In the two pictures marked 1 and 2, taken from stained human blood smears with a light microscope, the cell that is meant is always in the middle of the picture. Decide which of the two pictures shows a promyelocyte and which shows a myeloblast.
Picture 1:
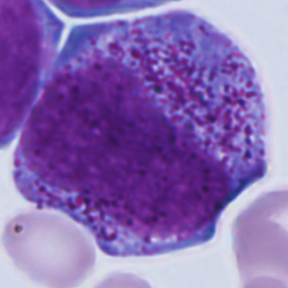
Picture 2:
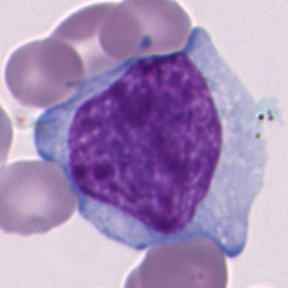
1: promyelocyte
2: myeloblast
